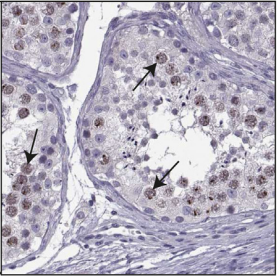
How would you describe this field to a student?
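Parts of seminiferous tubules are shown, with germ cells in stacked layers resting on a thin wall and surrounding a central lumen. A subset of large, round spermatocytes in the middle layers of the epithelium show nuclei filled with coarse brown speckles, while their cytoplasm remains pale. Most other germ cells have blue-counterstained nuclei without brown staining. Flattened cells with elongated nuclei form the tubule wall, and loose interstitial tissue lies between neighbouring tubules.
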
